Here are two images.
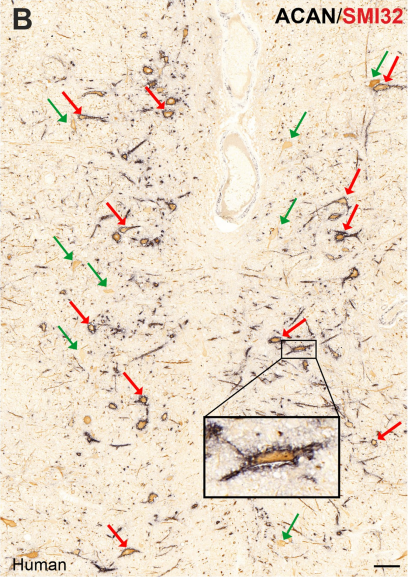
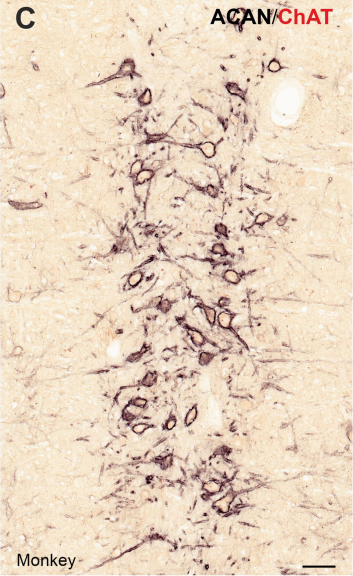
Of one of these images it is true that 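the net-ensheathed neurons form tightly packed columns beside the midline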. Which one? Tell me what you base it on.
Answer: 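The second image. First image: net-coated neurons are scattered loosely on both sides of the midline. Second image: net-coated neurons are densely packed in a vertical band along the midline.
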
